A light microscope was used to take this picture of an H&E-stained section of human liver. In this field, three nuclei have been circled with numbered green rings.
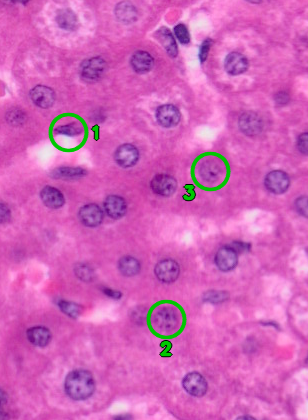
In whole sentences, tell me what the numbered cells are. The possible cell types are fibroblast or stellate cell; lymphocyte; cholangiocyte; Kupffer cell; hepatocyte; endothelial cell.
Cell 1 is an endothelial cell, cell 2 is a hepatocyte and cell 3 is a hepatocyte.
